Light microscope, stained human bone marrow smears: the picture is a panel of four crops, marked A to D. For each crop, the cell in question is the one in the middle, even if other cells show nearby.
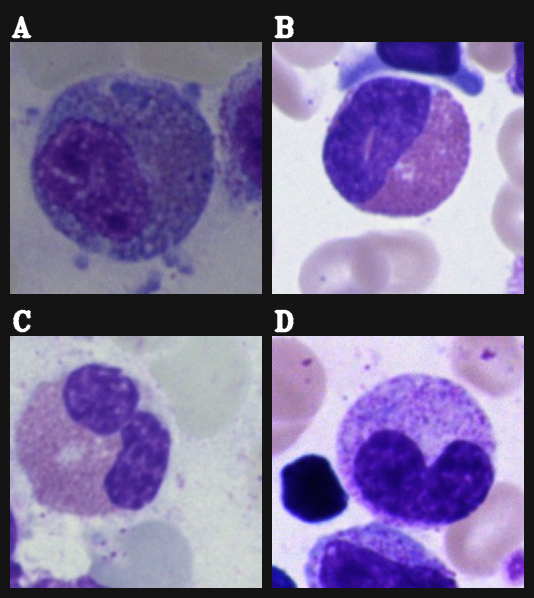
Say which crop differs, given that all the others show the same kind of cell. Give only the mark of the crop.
D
